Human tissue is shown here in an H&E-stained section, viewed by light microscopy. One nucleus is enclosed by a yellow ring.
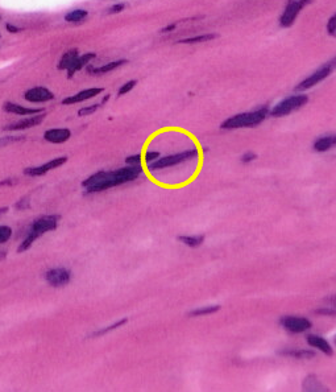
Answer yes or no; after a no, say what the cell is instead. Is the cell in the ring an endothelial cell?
Yes.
